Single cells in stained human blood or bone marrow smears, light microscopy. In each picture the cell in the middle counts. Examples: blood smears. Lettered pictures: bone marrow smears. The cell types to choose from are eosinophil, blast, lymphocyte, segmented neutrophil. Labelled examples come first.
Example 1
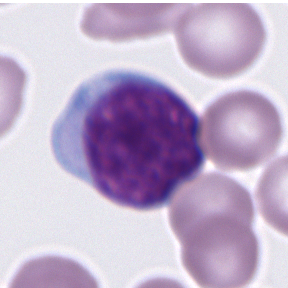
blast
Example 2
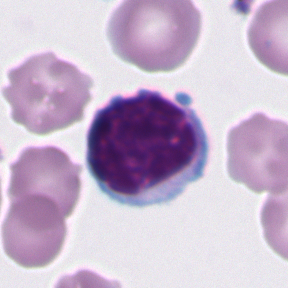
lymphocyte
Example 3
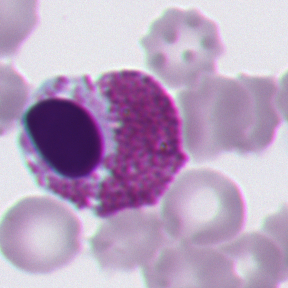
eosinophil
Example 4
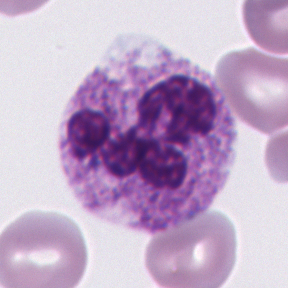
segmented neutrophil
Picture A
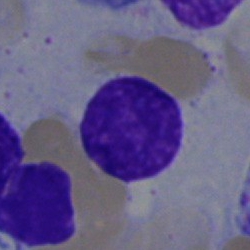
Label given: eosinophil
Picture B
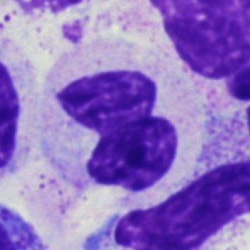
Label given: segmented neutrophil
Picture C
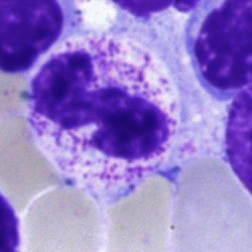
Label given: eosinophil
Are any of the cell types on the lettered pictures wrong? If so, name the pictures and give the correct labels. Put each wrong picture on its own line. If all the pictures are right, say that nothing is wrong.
A: not eosinophil but lymphocyte
C: not eosinophil but segmented neutrophil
